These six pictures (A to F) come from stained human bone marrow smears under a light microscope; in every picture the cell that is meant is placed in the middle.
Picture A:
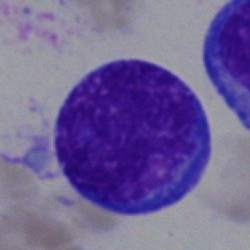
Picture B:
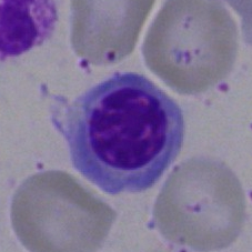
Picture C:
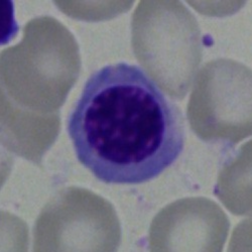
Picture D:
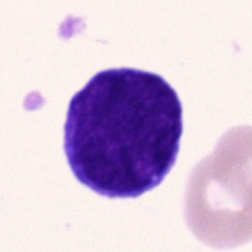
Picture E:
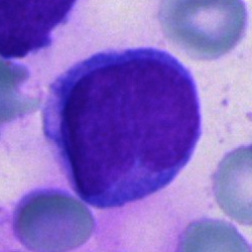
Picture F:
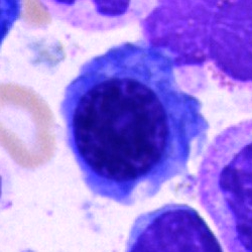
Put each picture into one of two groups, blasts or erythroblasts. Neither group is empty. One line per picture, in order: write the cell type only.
blast
erythroblast
erythroblast
blast
blast
erythroblast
